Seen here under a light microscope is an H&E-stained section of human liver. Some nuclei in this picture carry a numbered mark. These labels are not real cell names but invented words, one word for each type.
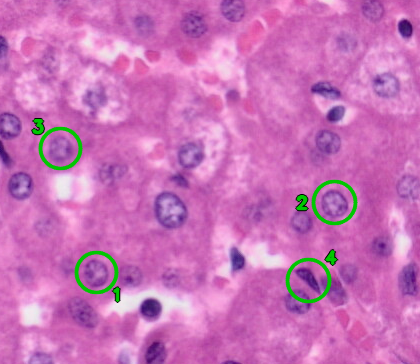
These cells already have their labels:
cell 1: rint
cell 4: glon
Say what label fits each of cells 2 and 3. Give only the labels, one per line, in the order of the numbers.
rint
rint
